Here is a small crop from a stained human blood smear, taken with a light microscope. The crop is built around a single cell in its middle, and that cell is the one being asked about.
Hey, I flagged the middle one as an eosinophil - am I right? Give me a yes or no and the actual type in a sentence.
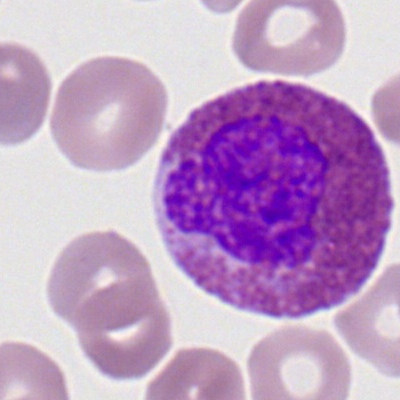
Yes, the middle cell of the field is an eosinophil.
